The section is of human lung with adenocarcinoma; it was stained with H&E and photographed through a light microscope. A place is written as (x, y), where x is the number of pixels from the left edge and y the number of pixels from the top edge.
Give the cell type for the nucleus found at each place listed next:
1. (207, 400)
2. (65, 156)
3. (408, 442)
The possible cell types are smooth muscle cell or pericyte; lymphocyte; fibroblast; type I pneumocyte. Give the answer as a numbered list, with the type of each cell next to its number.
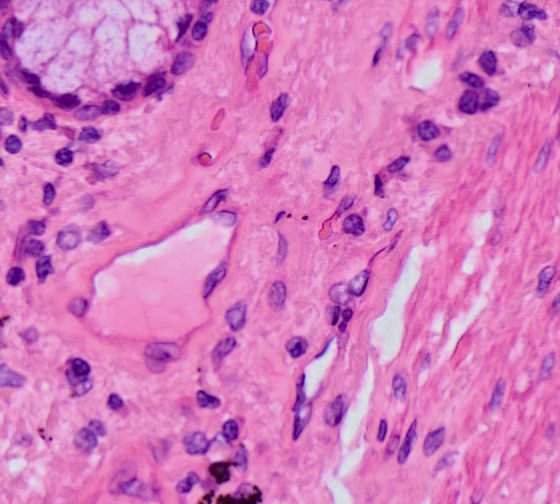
1. lymphocyte
2. lymphocyte
3. fibroblast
